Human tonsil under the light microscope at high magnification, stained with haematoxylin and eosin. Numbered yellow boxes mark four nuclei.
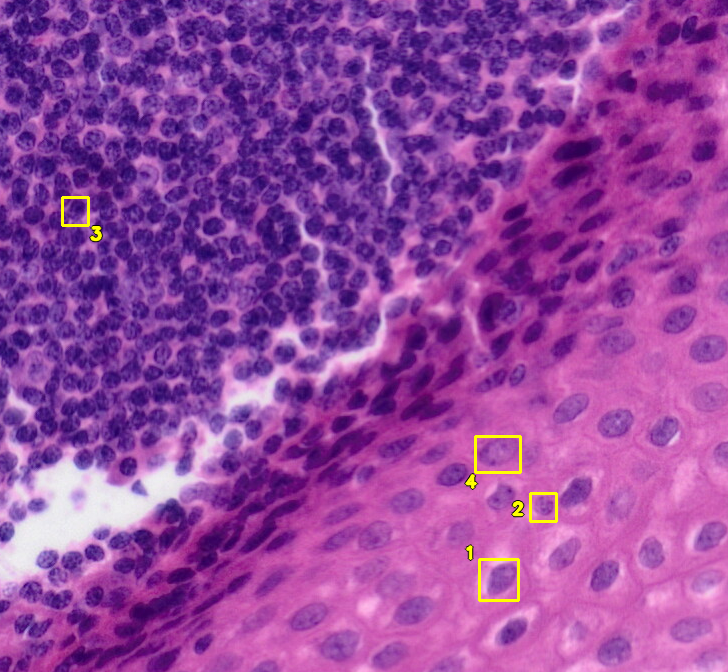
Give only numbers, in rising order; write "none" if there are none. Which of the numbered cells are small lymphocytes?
3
